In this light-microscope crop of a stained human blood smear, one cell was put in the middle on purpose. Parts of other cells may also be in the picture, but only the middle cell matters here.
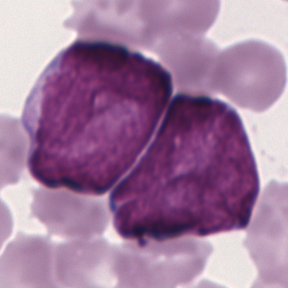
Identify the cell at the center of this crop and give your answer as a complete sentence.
The centrally positioned cell in the crop represents a myeloblast.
